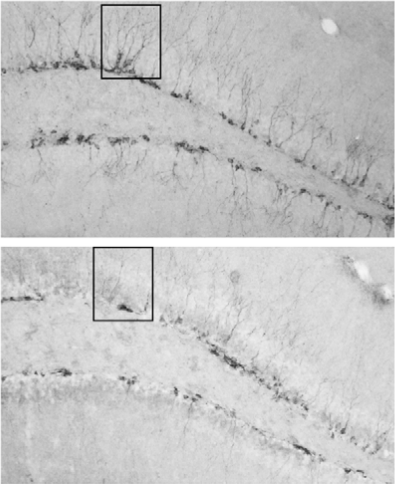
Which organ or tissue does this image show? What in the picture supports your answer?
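Stained cell bodies line the inner edge of each band.
Hence: dentate gyrus.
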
